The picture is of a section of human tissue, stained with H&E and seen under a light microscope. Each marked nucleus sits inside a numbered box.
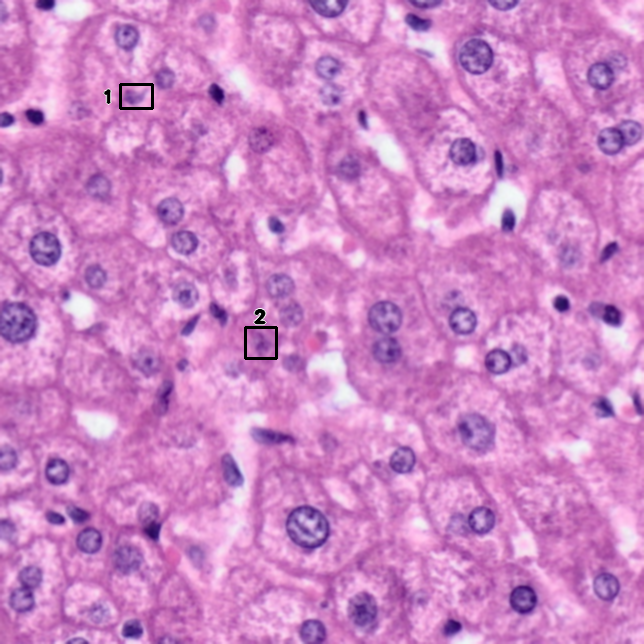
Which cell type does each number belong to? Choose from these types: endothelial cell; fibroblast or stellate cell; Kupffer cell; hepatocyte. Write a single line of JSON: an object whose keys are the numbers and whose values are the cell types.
{"1": "endothelial cell", "2": "hepatocyte"}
